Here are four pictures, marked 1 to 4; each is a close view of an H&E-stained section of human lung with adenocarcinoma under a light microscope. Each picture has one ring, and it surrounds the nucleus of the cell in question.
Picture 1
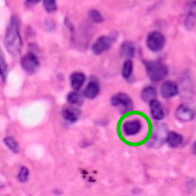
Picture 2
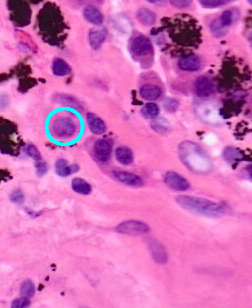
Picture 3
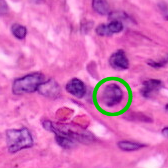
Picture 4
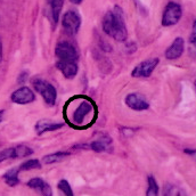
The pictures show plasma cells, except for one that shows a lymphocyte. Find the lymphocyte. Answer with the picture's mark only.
1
